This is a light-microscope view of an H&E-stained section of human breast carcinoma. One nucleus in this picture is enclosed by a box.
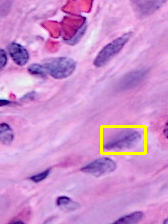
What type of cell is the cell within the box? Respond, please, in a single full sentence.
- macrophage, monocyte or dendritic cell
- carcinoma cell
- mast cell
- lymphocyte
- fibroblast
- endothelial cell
To be brief about it, the cell within the box is a fibroblast.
